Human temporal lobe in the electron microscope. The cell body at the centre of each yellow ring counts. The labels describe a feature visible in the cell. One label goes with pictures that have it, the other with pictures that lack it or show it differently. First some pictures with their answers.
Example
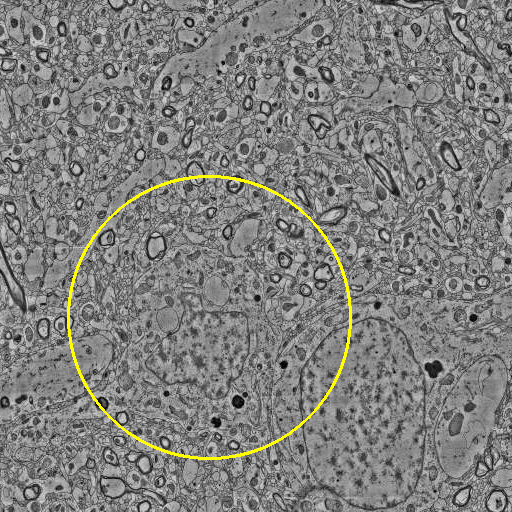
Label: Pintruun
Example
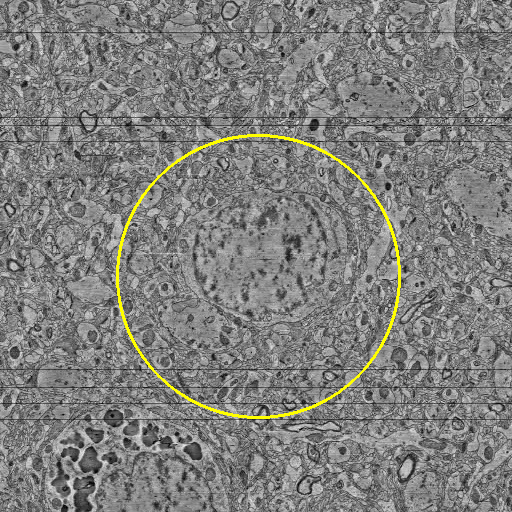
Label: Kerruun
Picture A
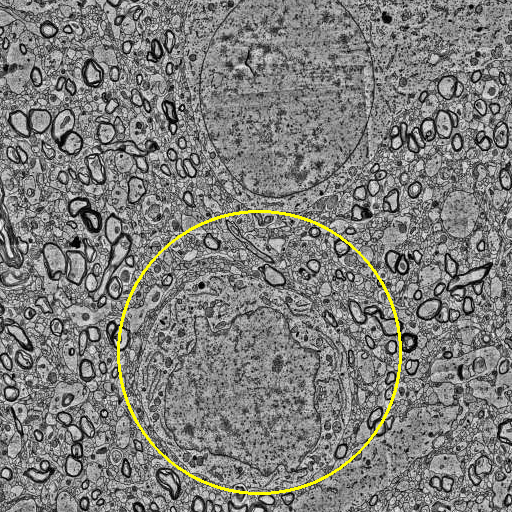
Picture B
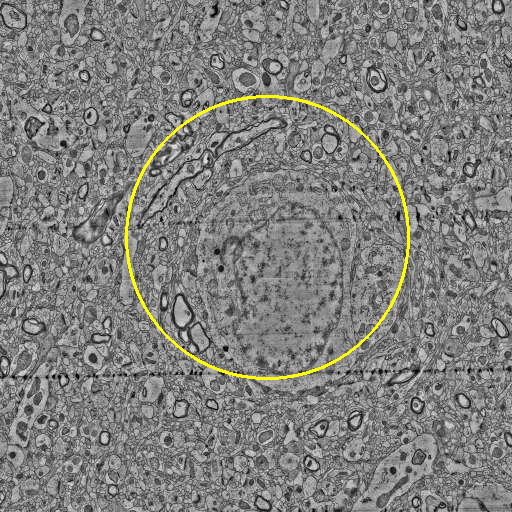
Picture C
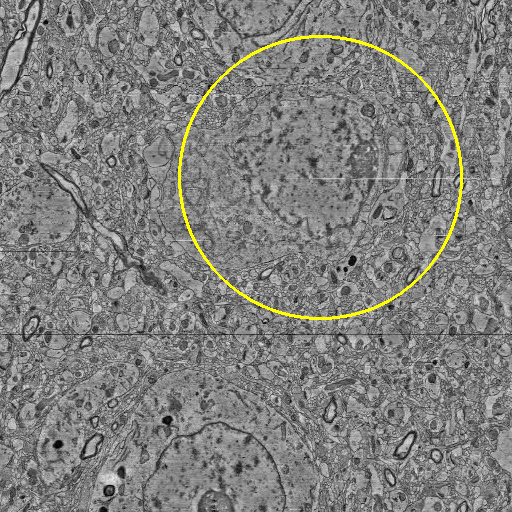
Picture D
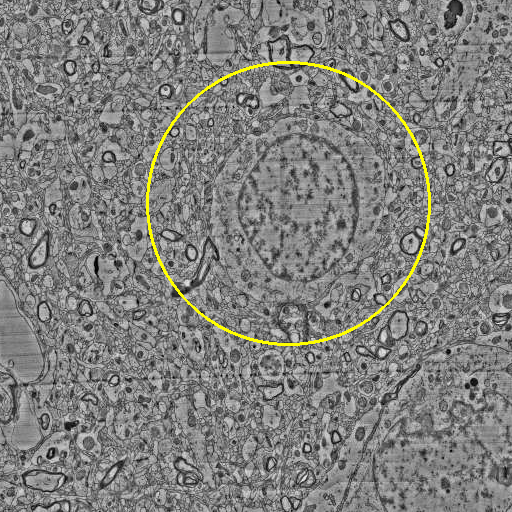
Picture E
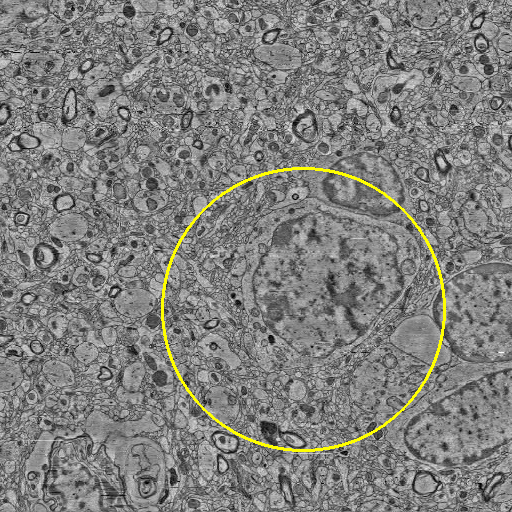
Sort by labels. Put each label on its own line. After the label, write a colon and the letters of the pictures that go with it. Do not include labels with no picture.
Pintruun: A, B, C
Kerruun: D, E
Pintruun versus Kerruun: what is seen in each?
In Pintruun: deeply folded or indented nuclear envelopes. In Kerruun: smooth nuclear envelopes without deep folds.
